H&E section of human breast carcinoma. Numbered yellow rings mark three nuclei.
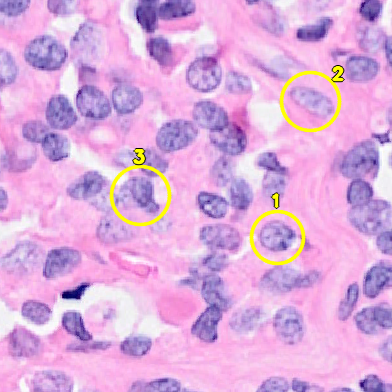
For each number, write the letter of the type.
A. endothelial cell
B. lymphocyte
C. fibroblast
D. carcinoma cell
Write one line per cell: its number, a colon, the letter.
1: D
2: A
3: D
